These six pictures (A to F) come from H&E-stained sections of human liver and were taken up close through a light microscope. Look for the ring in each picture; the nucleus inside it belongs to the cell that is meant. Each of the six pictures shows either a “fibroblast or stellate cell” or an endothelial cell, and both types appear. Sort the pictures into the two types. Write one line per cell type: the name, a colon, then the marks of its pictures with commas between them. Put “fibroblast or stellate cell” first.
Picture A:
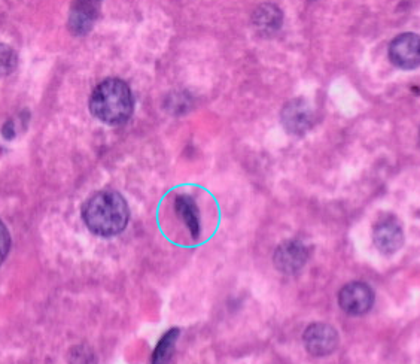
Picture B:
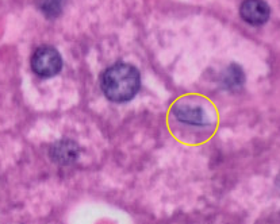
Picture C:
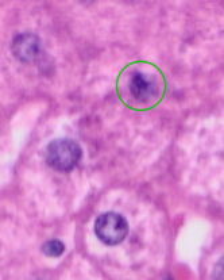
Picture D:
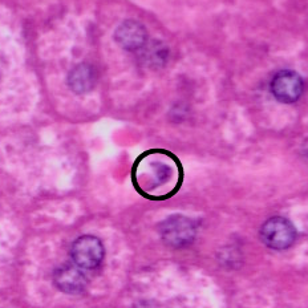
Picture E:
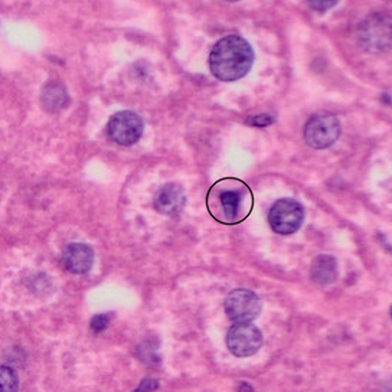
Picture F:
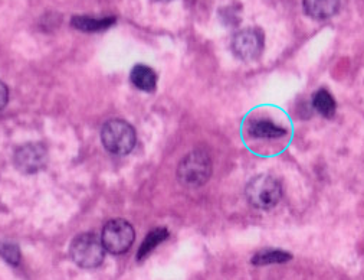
fibroblast or stellate cell: A, E
endothelial cell: B, C, D, F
